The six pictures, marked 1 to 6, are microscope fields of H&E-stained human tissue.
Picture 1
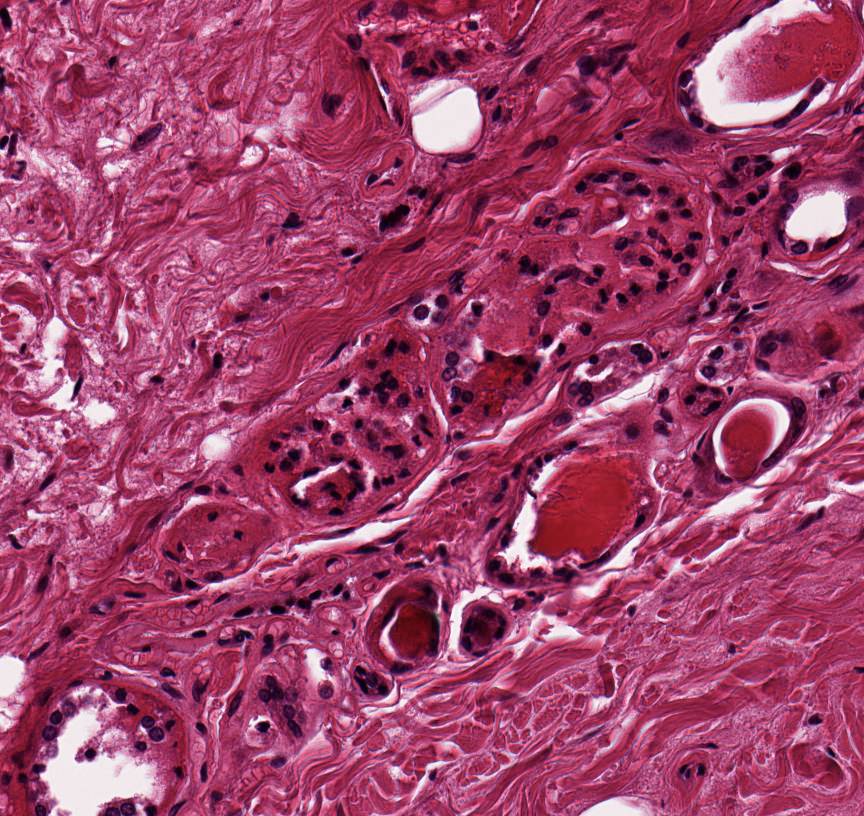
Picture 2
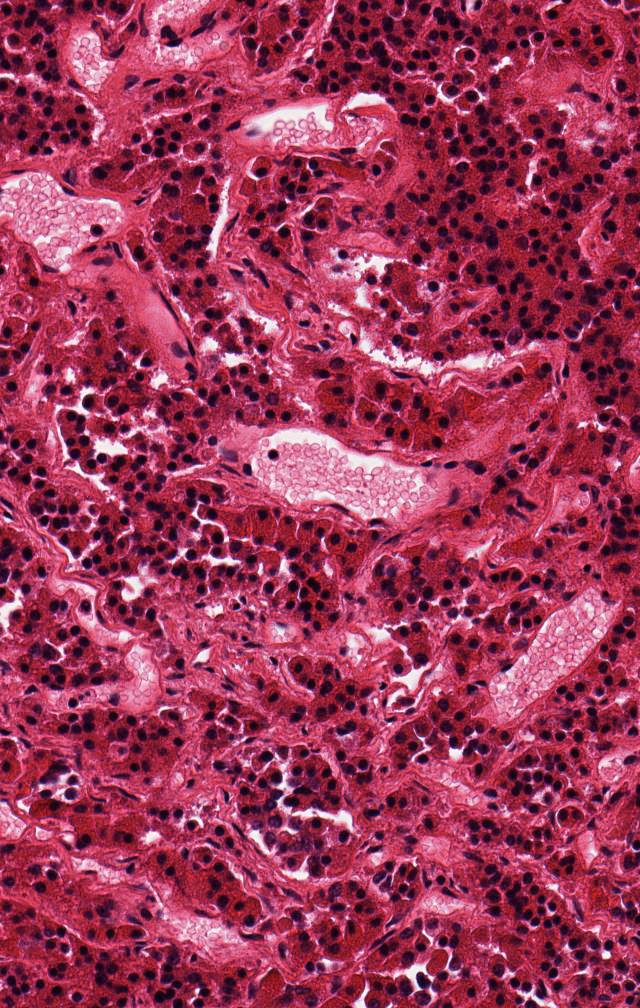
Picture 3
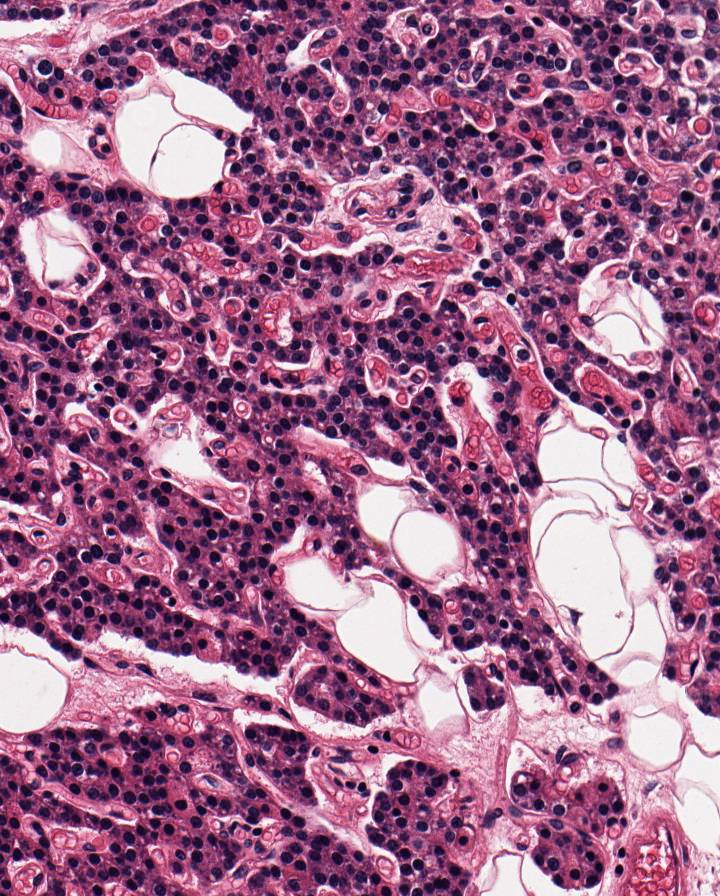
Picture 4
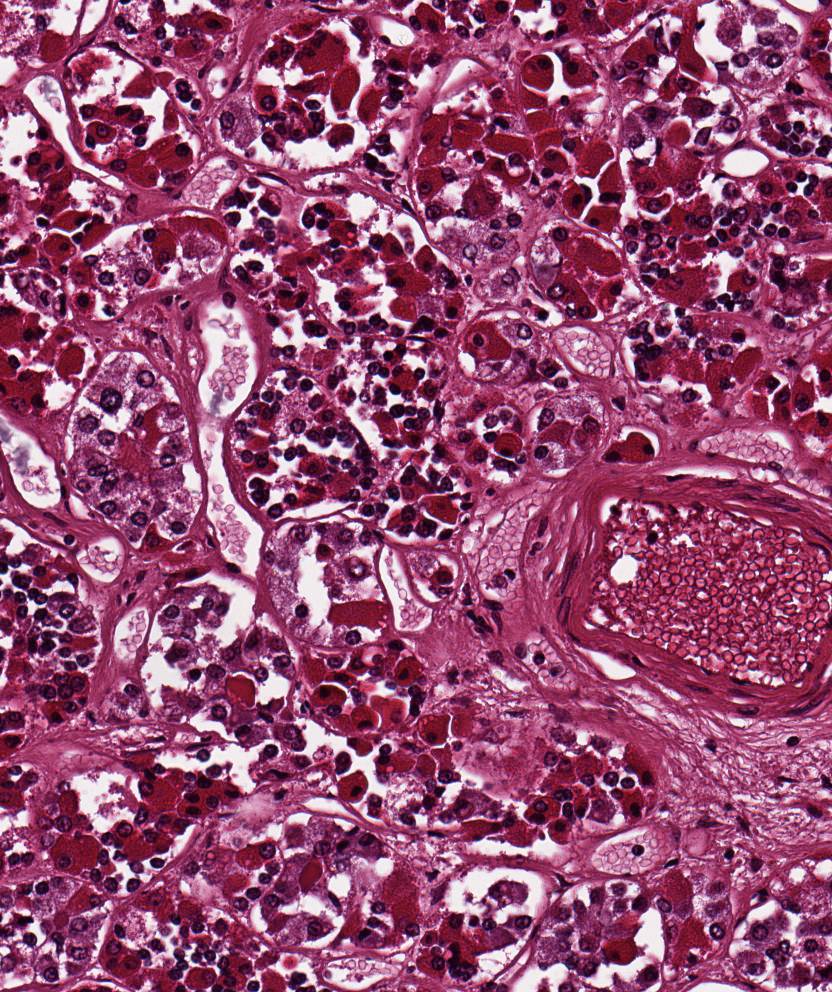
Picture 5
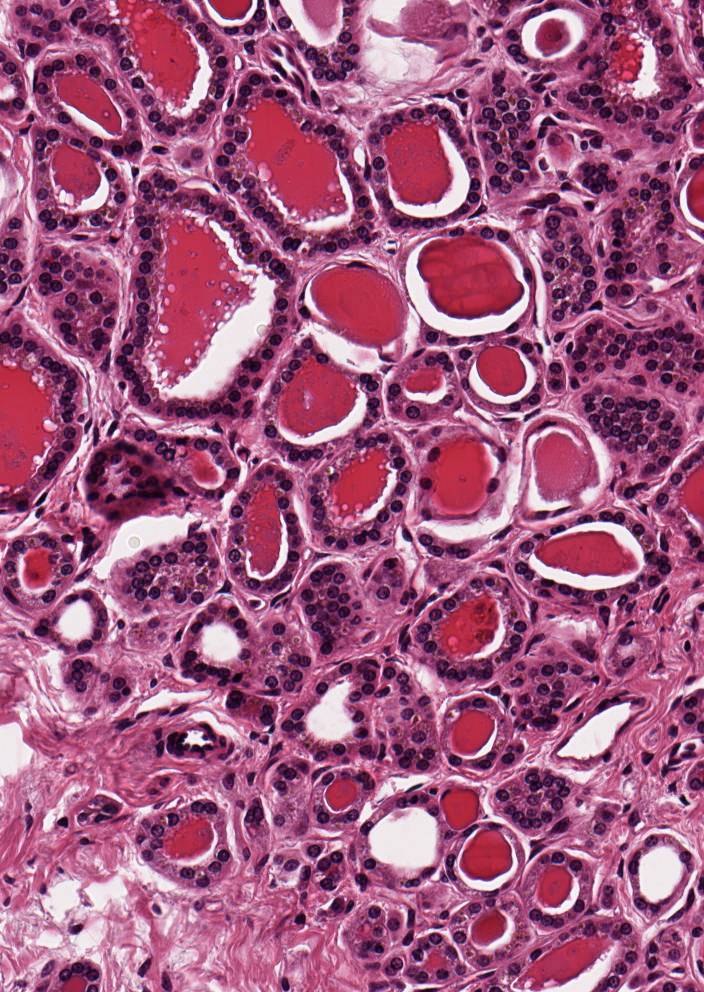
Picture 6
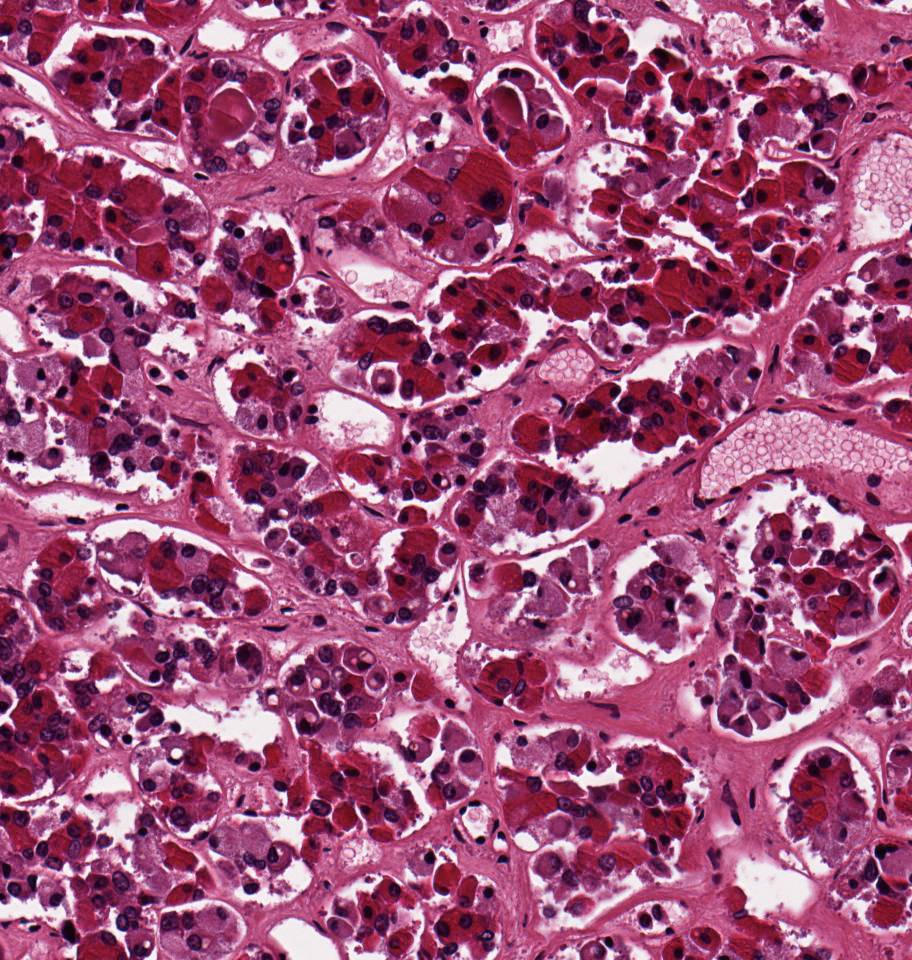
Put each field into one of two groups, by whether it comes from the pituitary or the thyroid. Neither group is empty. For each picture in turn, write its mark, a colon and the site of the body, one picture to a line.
1: thyroid
2: pituitary
3: thyroid
4: pituitary
5: thyroid
6: pituitary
